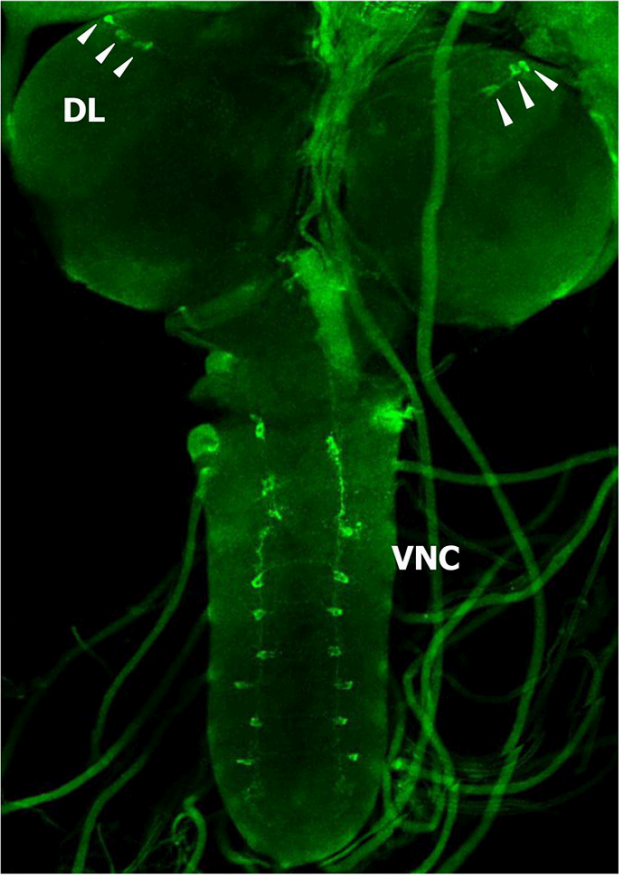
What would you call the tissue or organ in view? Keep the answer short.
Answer: Brain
